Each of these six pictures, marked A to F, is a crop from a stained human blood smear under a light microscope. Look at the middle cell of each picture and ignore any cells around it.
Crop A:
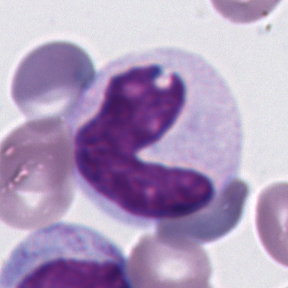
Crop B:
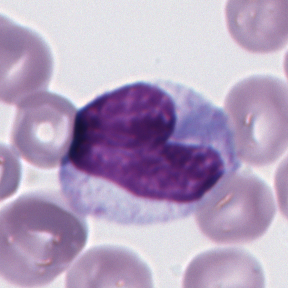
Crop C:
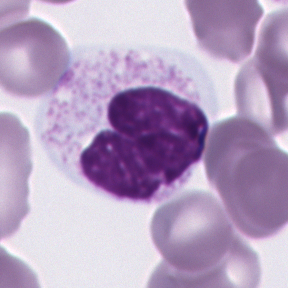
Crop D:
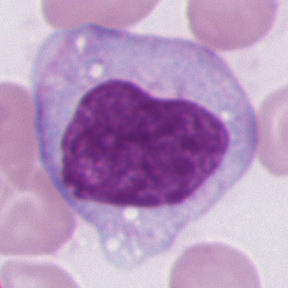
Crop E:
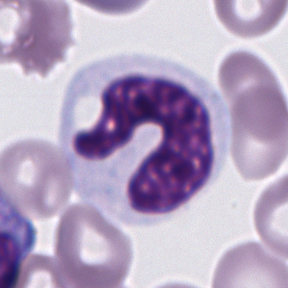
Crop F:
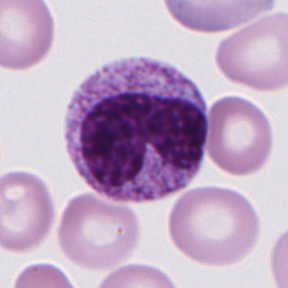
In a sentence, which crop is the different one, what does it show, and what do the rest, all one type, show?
In every crop except crop D, which shows a monocyte, band neutrophils are shown.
